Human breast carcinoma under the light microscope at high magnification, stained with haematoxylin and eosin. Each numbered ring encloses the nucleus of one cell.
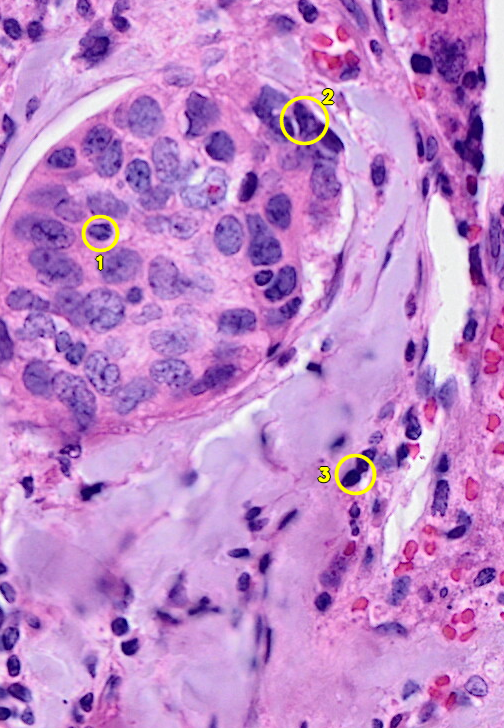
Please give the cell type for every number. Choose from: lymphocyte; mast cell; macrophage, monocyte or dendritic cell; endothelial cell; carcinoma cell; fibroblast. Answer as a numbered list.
1. lymphocyte
2. carcinoma cell
3. lymphocyte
